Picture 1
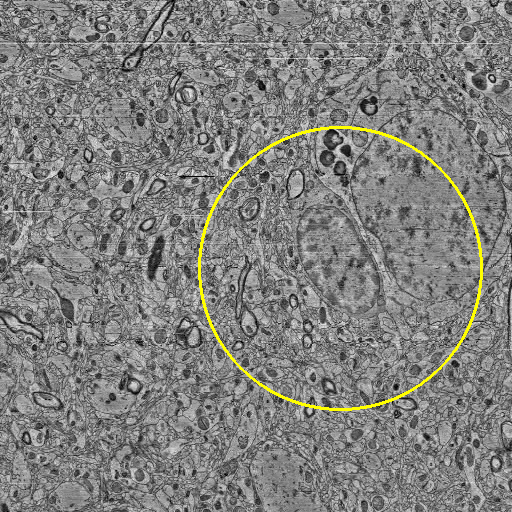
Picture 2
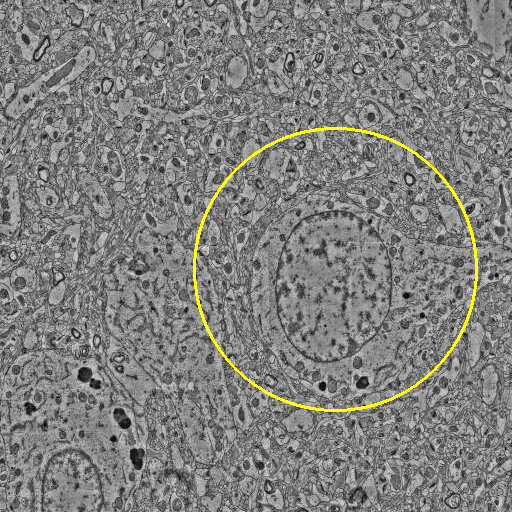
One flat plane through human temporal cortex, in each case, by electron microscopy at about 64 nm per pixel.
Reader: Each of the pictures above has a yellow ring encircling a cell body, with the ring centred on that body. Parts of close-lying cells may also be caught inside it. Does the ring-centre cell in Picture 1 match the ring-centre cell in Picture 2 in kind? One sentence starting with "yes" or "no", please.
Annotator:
No, Picture 1 and Picture 2 show ring-centre cells of two kinds.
